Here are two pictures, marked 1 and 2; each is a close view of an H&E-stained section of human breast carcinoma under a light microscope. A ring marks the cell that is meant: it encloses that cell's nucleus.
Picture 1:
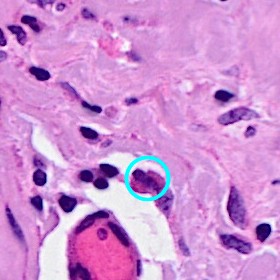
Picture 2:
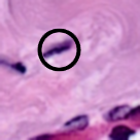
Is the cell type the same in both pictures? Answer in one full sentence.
No, picture 1 shows a mast cell and picture 2 shows a fibroblast.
